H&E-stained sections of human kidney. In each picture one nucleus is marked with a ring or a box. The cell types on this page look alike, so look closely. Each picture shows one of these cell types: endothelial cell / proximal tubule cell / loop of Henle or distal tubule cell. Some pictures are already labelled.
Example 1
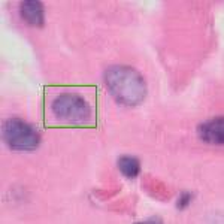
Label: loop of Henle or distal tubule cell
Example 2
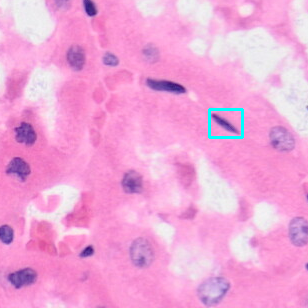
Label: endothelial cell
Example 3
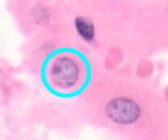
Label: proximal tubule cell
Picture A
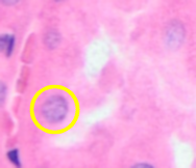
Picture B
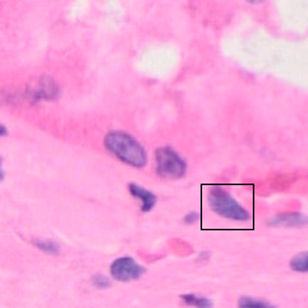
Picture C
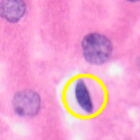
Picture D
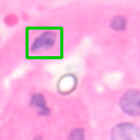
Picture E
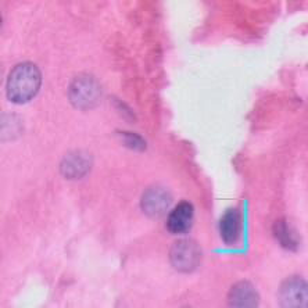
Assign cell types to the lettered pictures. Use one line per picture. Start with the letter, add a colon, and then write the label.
A: proximal tubule cell
B: endothelial cell
C: endothelial cell
D: proximal tubule cell
E: endothelial cell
